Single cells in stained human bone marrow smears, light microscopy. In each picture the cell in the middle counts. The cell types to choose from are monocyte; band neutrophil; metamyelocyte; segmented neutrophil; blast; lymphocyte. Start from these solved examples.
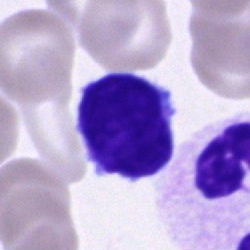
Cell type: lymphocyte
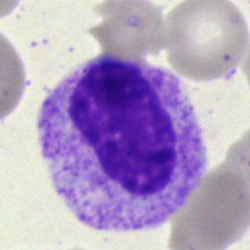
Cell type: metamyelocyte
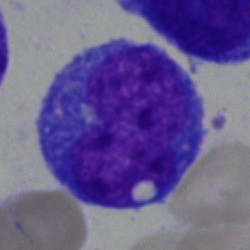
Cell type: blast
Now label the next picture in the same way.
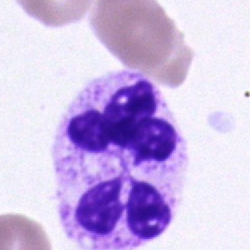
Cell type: segmented neutrophil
